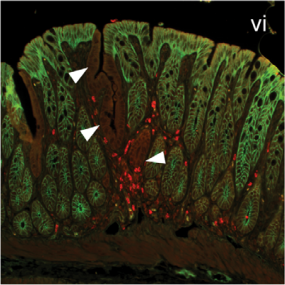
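This is colonic mucosa with long, straight crypts running from the muscle layer at the bottom to a flat surface at the top. The epithelial cells lining each crypt are outlined in green, giving a honeycomb-like pattern around their borders. In the middle of the section, where the arrowheads point, the green outlines are faint and the crypts look less crisp. Around and below this area, many small bright red cells are packed between the crypts in the lamina propria, forming a dense cluster of infiltrating inflammatory cells, with fewer scattered elsewhere.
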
